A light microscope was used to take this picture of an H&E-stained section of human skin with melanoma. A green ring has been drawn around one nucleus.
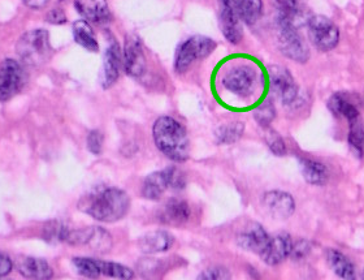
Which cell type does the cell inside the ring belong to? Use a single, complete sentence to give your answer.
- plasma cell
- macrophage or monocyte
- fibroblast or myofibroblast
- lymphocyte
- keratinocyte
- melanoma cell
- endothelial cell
It is a melanoma cell that the cell inside the ring represents.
